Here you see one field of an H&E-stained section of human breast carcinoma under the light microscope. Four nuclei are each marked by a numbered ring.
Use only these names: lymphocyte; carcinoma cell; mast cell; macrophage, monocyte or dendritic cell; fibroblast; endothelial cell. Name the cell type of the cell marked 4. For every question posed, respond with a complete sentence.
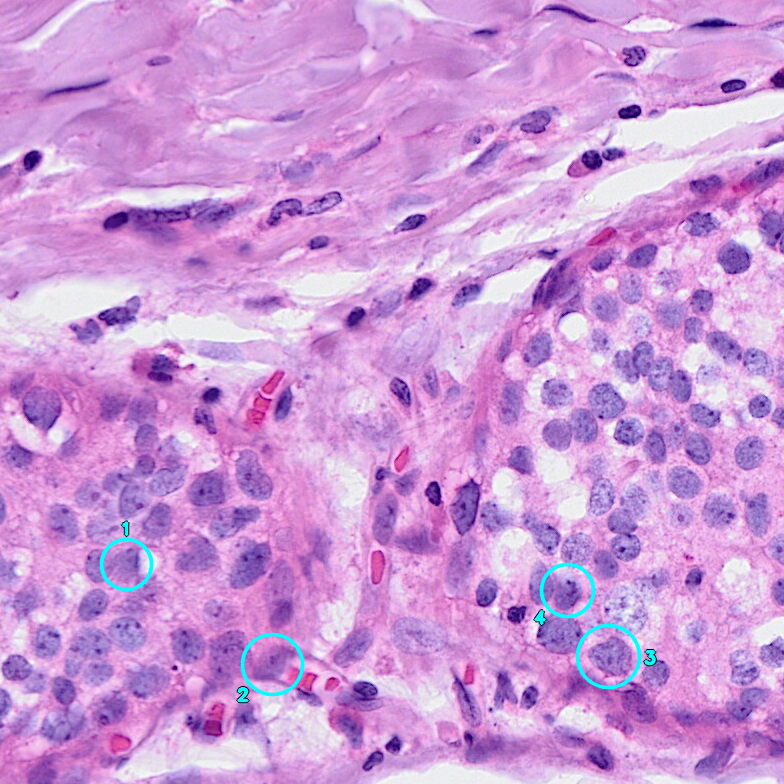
What the number 4 marks in this field is a carcinoma cell.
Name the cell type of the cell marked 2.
Heads up, the cell numbered 2 is an endothelial cell.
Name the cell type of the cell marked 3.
Number 3 is placed on a carcinoma cell here.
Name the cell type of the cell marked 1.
In the tissue shown, cell 1 is a carcinoma cell.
